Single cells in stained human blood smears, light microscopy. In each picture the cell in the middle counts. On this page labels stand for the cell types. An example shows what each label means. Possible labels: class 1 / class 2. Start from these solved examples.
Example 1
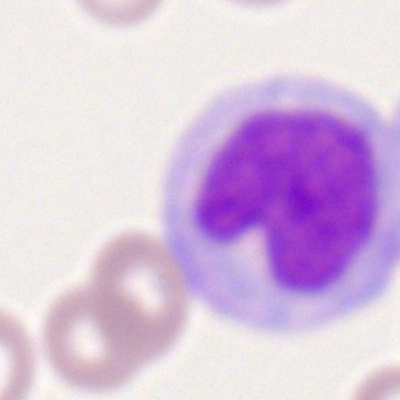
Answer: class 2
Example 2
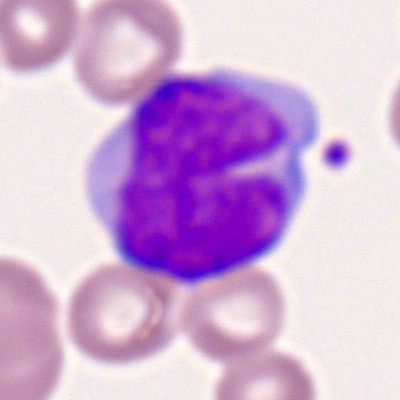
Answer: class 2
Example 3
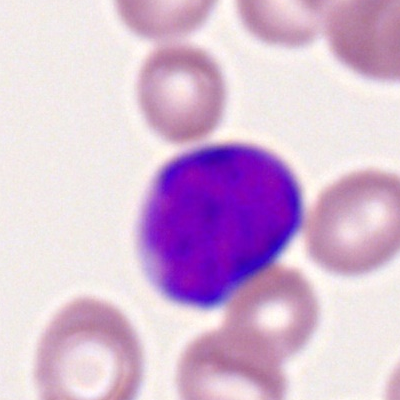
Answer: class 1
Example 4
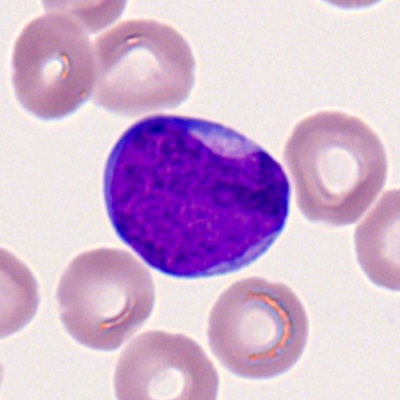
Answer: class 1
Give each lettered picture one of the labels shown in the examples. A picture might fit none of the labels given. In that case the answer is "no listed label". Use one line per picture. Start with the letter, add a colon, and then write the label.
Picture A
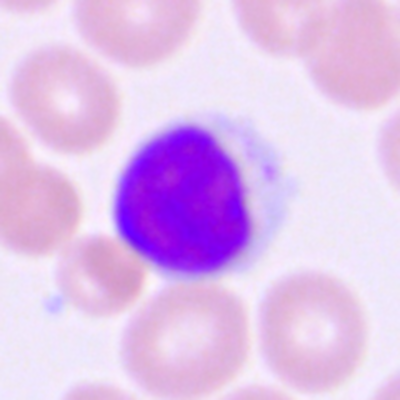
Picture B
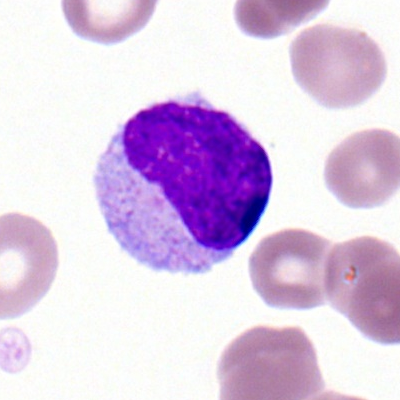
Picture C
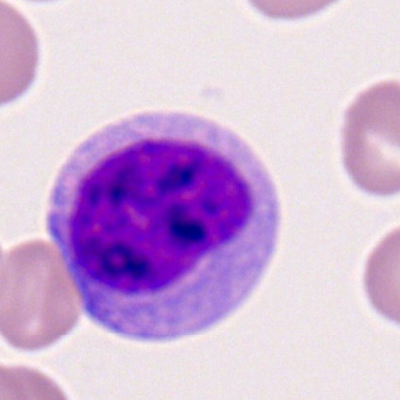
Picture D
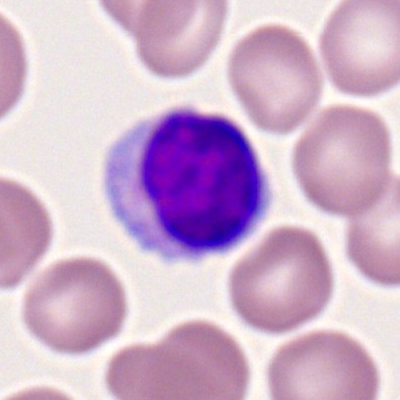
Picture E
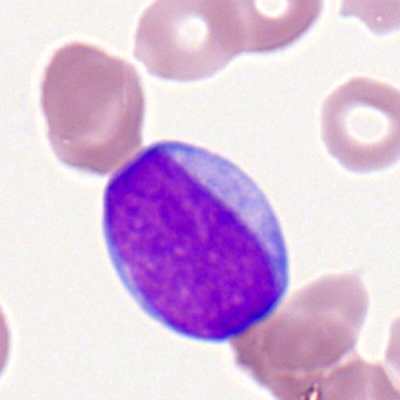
A: no listed label
B: no listed label
C: class 2
D: no listed label
E: class 1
